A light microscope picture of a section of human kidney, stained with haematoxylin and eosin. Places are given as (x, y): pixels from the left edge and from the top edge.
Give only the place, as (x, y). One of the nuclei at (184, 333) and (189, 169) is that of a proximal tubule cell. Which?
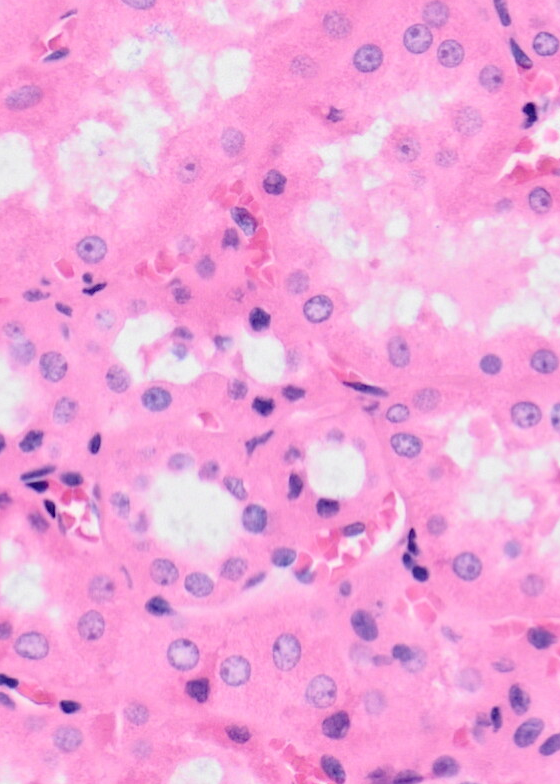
(189, 169)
